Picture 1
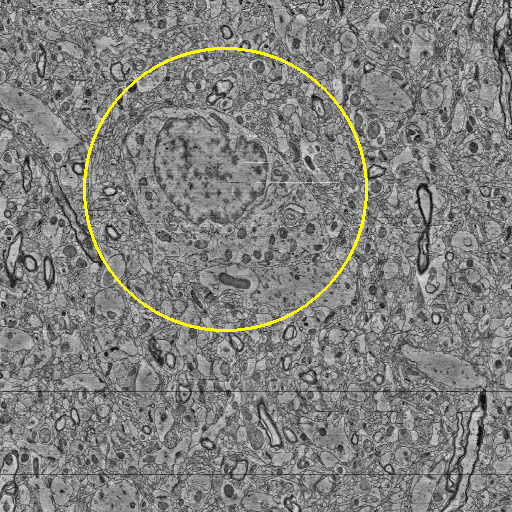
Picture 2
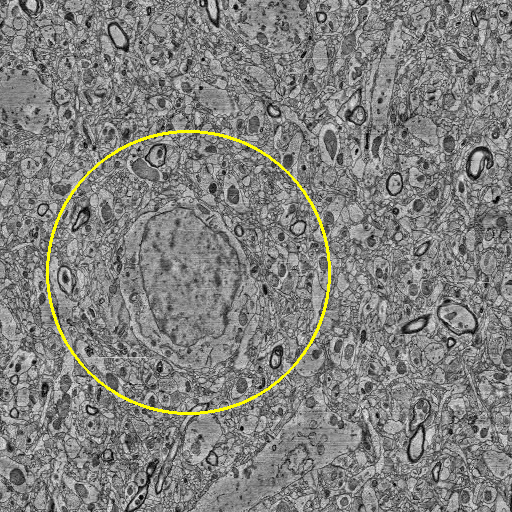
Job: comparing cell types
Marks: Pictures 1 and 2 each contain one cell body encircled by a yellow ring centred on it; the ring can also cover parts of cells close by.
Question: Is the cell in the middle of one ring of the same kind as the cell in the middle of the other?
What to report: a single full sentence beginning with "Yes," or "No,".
Yes, the cell at the ring centre in Picture 1 and its partner in Picture 2 are of one kind.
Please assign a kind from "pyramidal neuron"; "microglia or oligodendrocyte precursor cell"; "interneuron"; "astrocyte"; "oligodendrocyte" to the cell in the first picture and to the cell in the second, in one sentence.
Each one of the two ringed cells is an interneuron.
